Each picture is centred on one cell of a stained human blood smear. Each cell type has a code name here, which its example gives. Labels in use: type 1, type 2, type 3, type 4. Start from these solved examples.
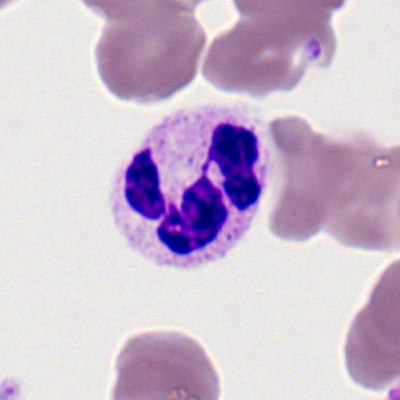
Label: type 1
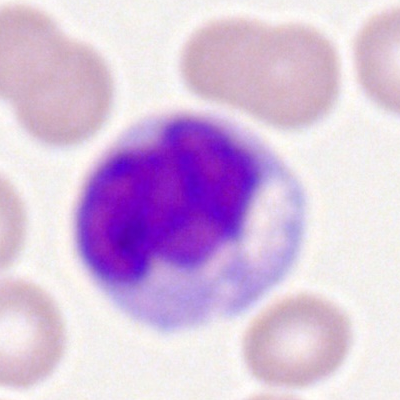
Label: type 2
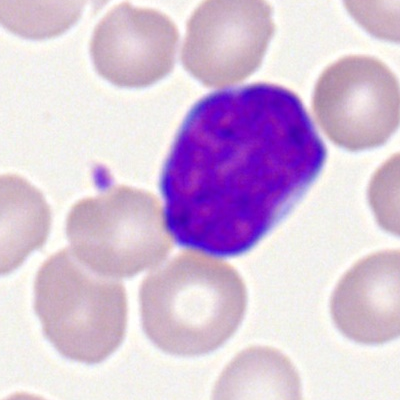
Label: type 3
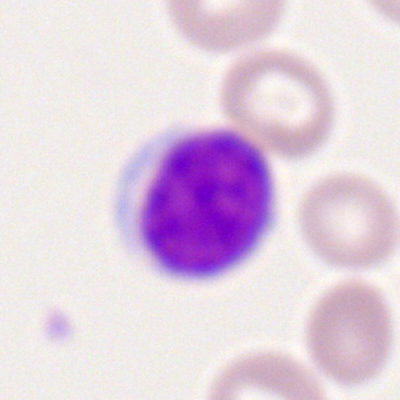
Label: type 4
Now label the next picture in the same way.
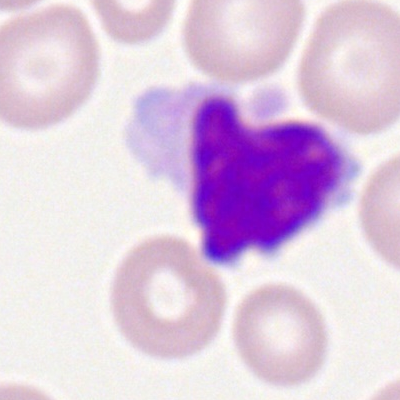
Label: type 4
